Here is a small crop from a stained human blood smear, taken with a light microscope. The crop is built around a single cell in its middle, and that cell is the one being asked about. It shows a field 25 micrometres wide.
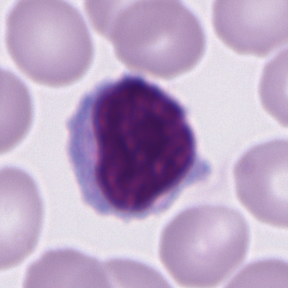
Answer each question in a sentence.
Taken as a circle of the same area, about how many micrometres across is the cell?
The diameter of the cell comes to about 12 micrometres.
